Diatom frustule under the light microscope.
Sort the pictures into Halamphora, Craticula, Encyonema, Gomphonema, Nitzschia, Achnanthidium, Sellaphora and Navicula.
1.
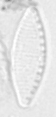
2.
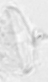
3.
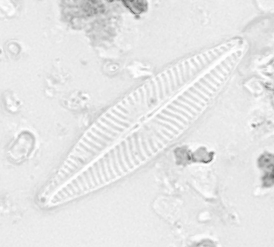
Nitzschia: 1
Achnanthidium: 2
Navicula: 3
